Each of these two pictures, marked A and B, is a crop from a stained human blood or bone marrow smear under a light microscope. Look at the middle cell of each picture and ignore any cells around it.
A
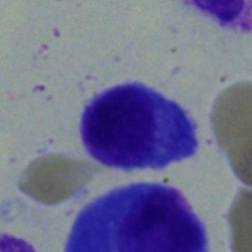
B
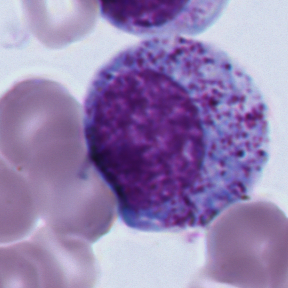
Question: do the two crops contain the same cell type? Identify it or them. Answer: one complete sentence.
No, crop A gives us a plasma cell and crop B gives us a promyelocyte.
